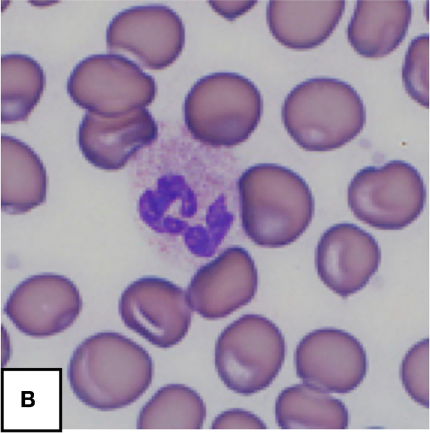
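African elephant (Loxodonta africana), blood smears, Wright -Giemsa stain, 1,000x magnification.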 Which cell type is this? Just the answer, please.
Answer: Heterophil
